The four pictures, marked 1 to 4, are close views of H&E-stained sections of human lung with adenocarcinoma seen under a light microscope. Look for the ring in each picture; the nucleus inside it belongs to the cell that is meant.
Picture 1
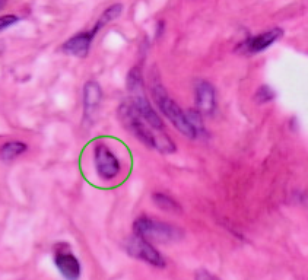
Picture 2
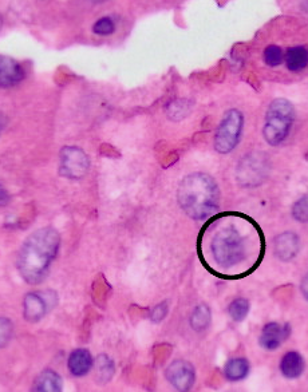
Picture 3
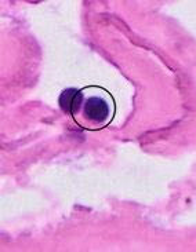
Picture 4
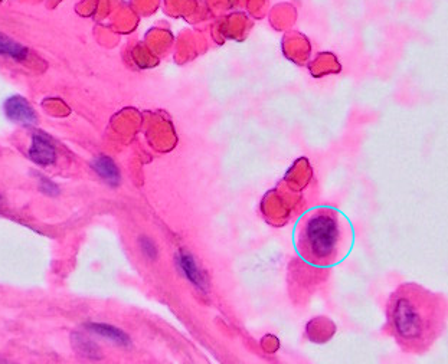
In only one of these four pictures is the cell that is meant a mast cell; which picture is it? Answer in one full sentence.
Picture 1 shows the mast cell.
